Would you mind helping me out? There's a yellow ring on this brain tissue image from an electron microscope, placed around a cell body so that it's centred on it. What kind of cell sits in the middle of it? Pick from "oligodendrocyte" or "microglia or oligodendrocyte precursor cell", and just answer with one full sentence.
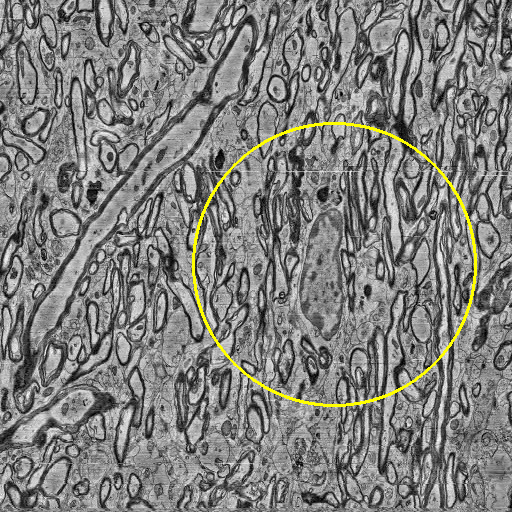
What sits in the middle of that yellow ring is a microglial cell or oligodendrocyte precursor cell, from your choices.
